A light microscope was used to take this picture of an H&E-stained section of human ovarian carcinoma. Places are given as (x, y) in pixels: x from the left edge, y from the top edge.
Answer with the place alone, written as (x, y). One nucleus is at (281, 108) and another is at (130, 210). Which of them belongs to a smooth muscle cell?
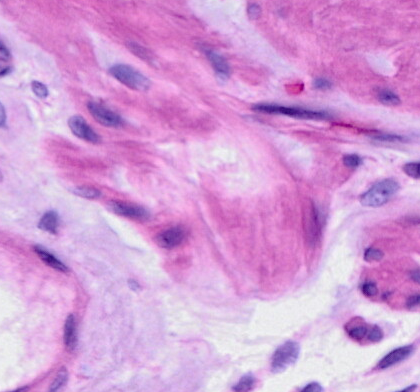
(130, 210)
